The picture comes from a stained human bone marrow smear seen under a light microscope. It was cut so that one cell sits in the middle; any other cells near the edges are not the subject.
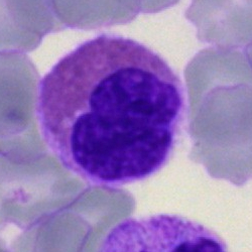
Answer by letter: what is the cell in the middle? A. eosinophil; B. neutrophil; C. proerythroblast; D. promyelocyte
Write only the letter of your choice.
A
